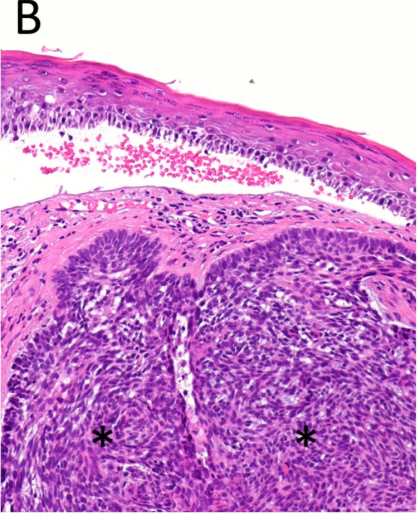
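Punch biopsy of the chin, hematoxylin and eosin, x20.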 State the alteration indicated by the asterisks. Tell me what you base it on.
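Crowded cells with dark oval nuclei and scant cytoplasm form rounded nests. Cells at the edge of the nests line up side by side. A thin strand of stroma separates two nests.
Answer: nodular aggregates of basaloid tumor cells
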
